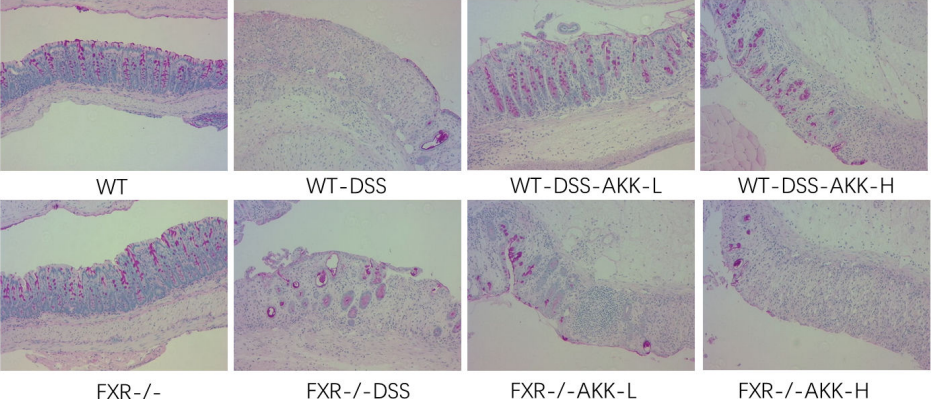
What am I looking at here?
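These are sections of colon wall in which goblet cells stand out by their magenta-filled mucus. Where the mucosa is intact, long parallel crypts run from the muscle layer to the lumen, and rounded, cup-shaped goblet cells line them densely, with pale blue-grey epithelium and lamina propria between. In other frames the crypts are largely gone: the mucosa is thickened and disorganised, crowded with small cells, and only a few scattered magenta goblet cells or mucus droplets remain. Some frames are in between, with shortened, sparse crypts still carrying clusters of goblet cells.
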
